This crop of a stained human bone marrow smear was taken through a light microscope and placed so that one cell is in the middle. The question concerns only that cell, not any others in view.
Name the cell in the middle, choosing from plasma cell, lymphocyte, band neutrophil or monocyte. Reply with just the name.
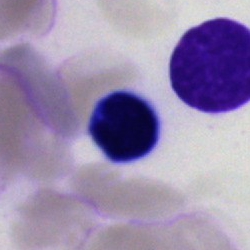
lymphocyte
